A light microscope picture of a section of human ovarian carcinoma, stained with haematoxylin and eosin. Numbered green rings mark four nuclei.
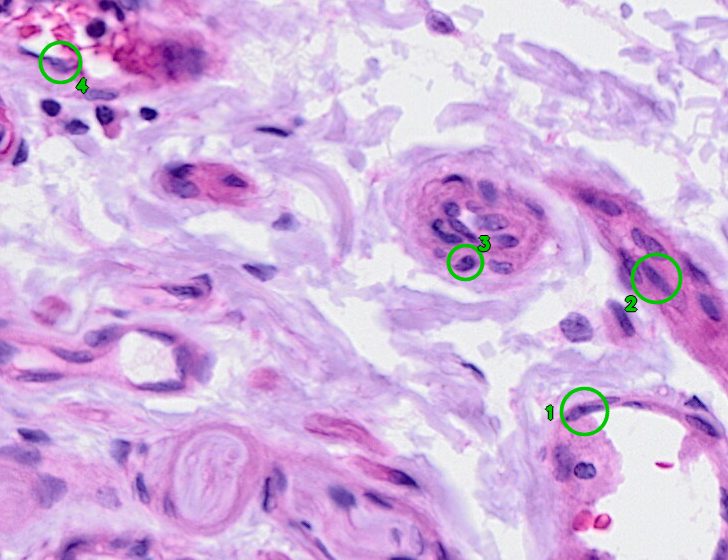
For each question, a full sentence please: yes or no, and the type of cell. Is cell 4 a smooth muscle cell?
No, the marker 4 sits on an endothelial cell, not on a smooth muscle cell.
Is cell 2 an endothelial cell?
No, the cell bearing the number 2 is a smooth muscle cell, not an endothelial cell.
